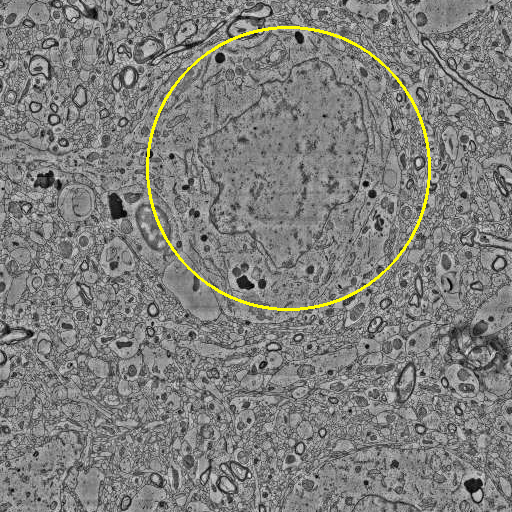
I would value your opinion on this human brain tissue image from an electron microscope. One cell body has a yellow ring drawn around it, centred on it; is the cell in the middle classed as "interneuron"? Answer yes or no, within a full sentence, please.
Yes, I would class the cell in the middle of the ring as that kind.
